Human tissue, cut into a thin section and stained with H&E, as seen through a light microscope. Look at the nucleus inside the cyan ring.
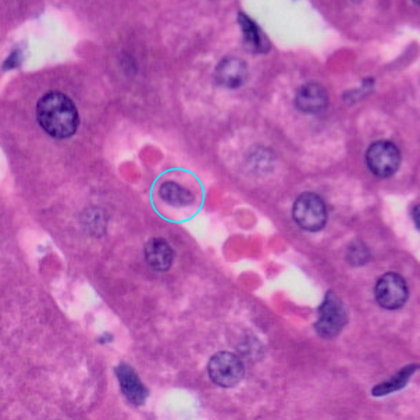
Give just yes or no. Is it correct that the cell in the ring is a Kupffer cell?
yes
